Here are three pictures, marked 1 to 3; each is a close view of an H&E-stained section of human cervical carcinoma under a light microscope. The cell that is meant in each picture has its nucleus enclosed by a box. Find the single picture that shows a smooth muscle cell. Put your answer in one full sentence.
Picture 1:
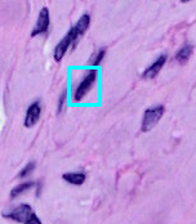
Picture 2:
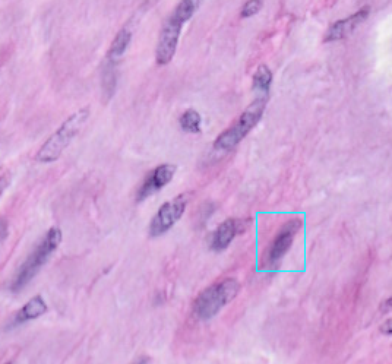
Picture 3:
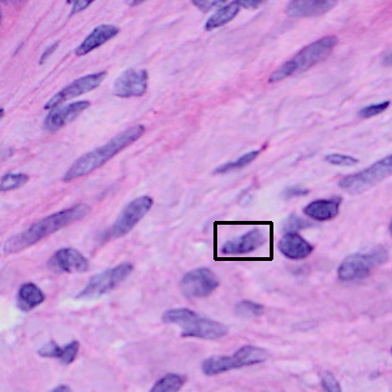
The picture with the smooth muscle cell is 2.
